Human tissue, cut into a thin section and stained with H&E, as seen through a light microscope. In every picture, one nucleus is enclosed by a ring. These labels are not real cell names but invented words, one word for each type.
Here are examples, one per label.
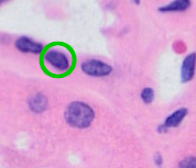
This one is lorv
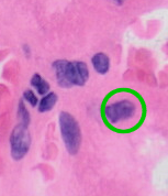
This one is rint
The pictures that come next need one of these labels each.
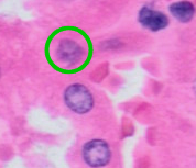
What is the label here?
rint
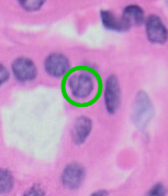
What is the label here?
lorv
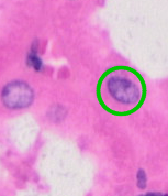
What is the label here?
rint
